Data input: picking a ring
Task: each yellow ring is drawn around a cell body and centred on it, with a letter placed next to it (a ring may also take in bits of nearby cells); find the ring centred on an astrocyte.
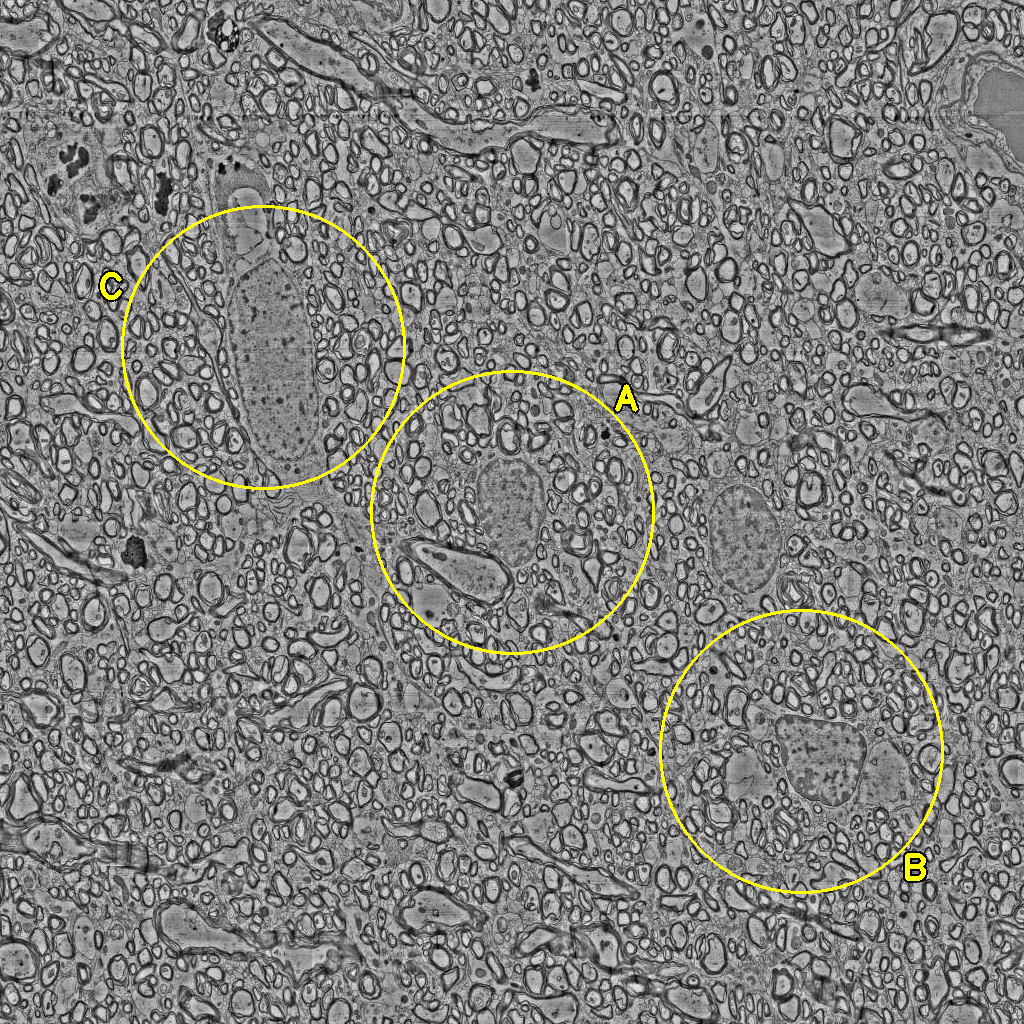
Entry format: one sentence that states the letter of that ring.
In the picture, the cell asked for sits at the centre of ring C.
